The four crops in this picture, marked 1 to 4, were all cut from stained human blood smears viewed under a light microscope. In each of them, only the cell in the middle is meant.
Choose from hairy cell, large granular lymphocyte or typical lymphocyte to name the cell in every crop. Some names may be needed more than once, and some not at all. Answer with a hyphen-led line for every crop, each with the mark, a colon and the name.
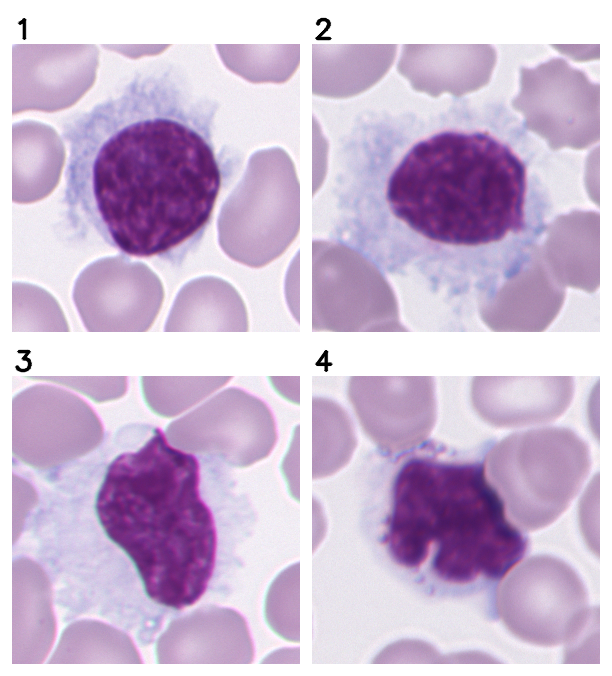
- 1: hairy cell
- 2: hairy cell
- 3: hairy cell
- 4: large granular lymphocyte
